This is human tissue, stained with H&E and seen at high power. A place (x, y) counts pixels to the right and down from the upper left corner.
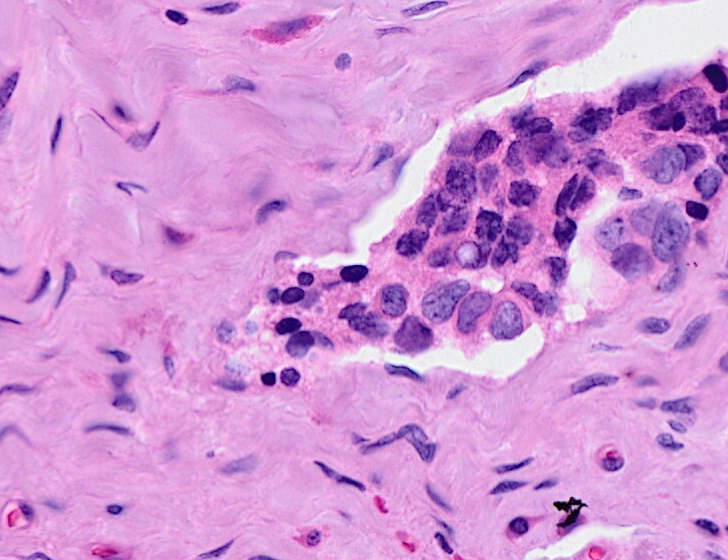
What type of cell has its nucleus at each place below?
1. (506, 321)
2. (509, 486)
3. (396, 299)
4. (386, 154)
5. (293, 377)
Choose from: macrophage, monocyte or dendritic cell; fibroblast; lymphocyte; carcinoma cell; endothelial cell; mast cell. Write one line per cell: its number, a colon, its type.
1: carcinoma cell
2: fibroblast
3: carcinoma cell
4: fibroblast
5: lymphocyte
